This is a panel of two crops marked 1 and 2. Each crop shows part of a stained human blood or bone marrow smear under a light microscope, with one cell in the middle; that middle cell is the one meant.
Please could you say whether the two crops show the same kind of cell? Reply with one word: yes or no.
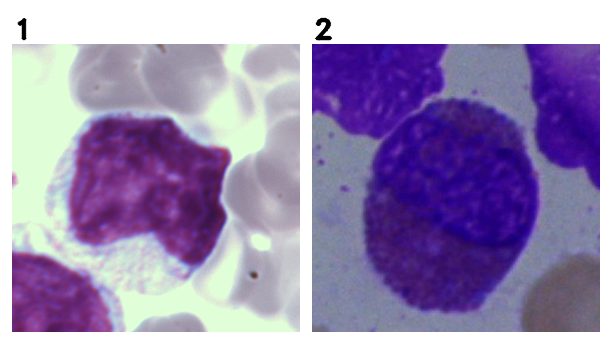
no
